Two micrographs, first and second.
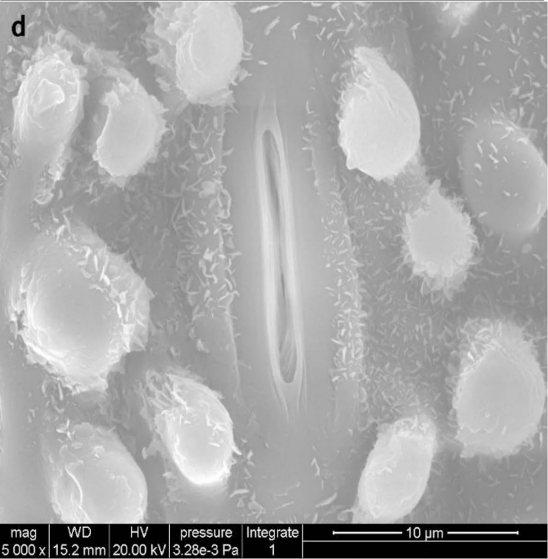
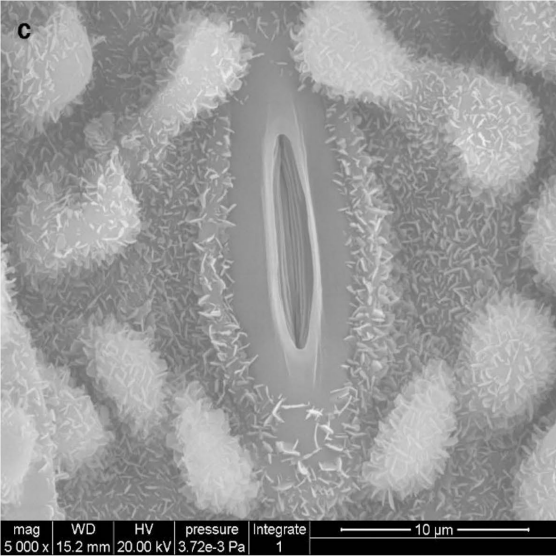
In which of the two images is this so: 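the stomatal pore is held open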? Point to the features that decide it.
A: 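The second image. First image: the central pore is a narrow slit with little gap between its lips. Second image: the central pore is a wider spindle-shaped gap with its inner walls visible.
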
